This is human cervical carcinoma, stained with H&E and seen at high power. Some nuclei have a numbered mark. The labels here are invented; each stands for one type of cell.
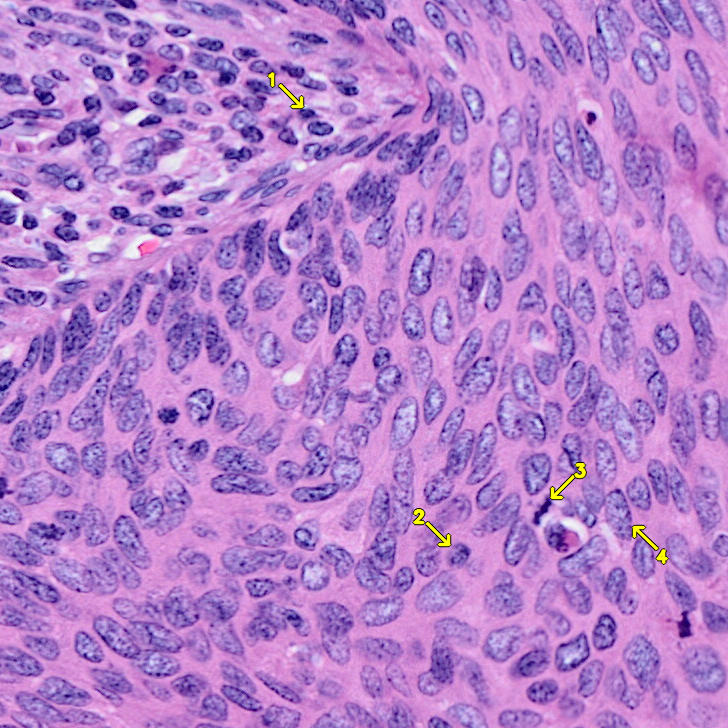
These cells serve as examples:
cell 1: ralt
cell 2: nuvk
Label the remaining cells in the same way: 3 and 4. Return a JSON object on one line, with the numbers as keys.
{"3": "nuvk", "4": "nuvk"}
